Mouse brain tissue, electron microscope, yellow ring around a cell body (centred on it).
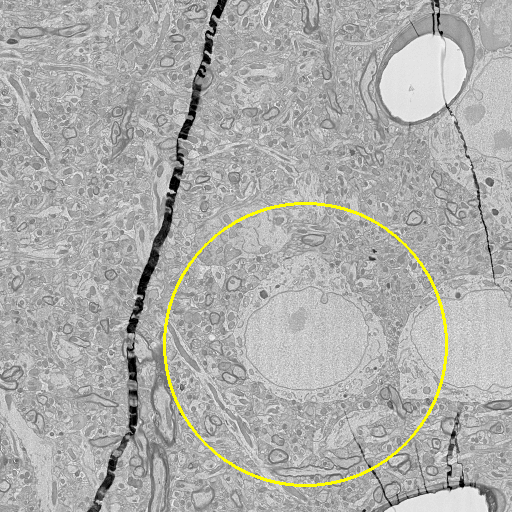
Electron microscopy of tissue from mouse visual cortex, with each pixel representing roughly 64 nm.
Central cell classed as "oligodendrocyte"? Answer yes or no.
no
